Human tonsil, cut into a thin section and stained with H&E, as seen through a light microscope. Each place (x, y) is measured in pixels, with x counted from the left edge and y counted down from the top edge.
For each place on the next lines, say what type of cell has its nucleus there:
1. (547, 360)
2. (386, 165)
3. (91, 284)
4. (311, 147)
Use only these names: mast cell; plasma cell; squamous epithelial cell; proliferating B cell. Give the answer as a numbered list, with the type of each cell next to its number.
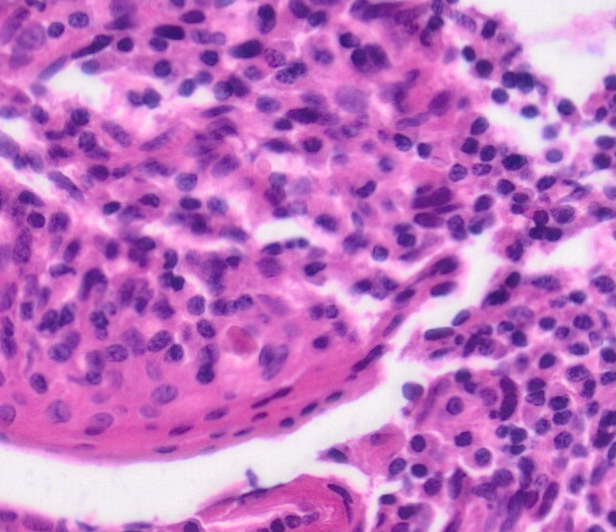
1. plasma cell
2. plasma cell
3. squamous epithelial cell
4. plasma cell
